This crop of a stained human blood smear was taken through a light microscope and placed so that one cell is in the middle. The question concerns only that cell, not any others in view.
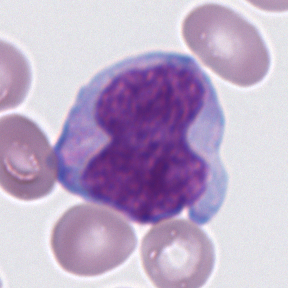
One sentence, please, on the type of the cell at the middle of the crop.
The cell centered in this field of view is an atypical promyelocyte.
